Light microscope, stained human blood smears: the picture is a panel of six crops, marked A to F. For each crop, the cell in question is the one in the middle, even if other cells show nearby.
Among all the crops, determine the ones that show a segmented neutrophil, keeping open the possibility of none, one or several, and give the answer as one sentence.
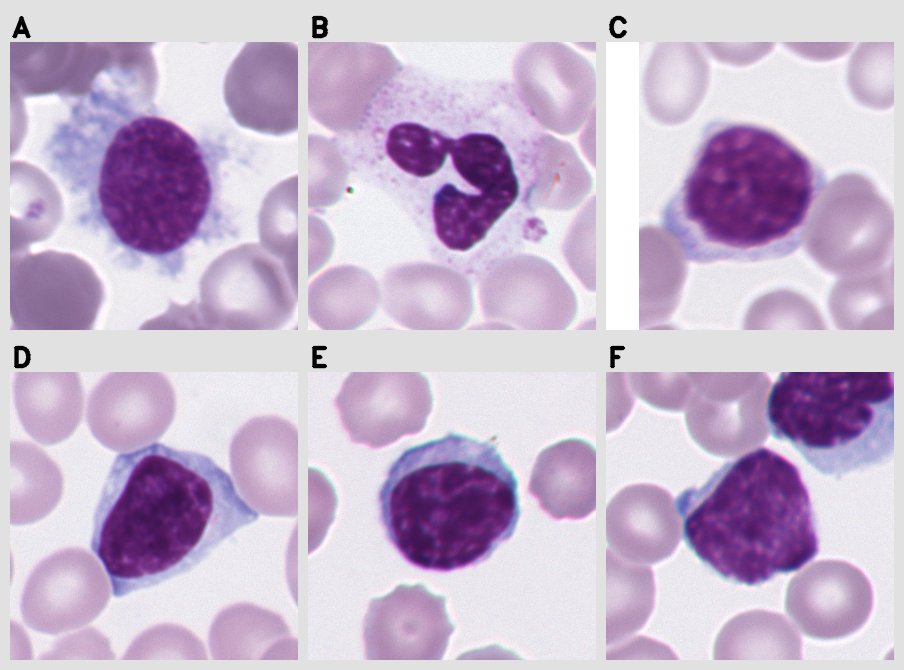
Crop B is the only crop that shows a segmented neutrophil.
